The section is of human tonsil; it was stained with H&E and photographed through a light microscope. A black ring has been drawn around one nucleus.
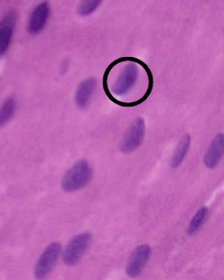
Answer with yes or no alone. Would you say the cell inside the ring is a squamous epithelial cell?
yes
